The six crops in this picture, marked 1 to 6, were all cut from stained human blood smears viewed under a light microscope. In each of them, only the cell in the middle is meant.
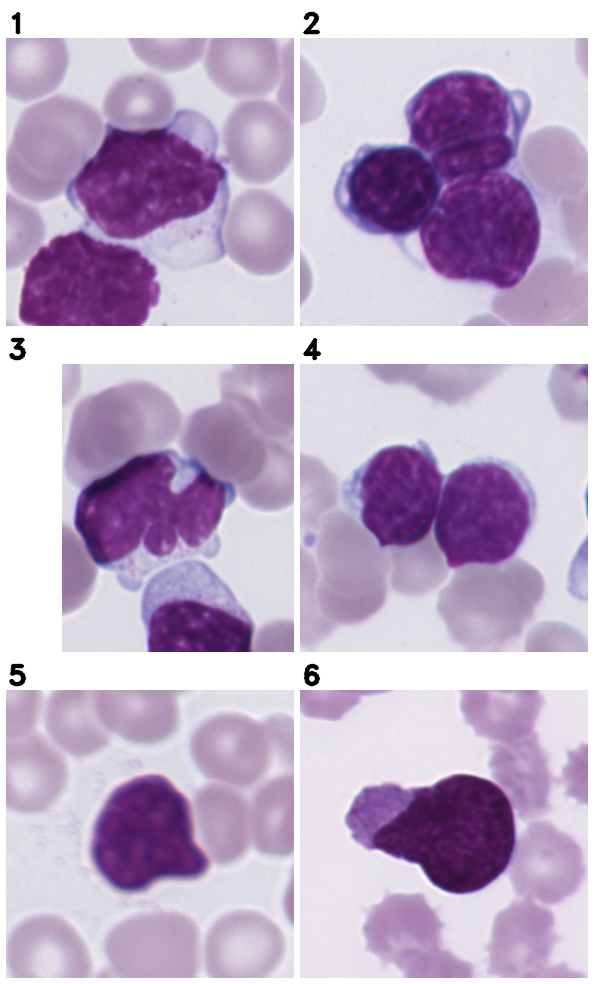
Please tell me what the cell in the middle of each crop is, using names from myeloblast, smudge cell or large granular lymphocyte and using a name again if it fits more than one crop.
1: large granular lymphocyte
2: myeloblast
3: large granular lymphocyte
4: myeloblast
5: smudge cell
6: myeloblast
